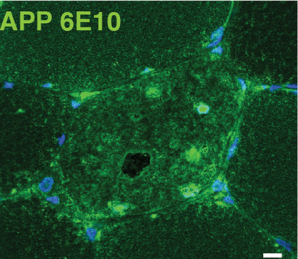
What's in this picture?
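This is a transverse section of skeletal muscle with polygonal muscle fibers cut in cross section. The central fiber has a dark irregular empty space near its middle and several rounded bright green deposits scattered in its sarcoplasm. The remaining sarcoplasm shows a faint granular green pattern. Fiber borders appear as brighter green lines, and small blue nuclei lie at the periphery of the fibers and between them.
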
